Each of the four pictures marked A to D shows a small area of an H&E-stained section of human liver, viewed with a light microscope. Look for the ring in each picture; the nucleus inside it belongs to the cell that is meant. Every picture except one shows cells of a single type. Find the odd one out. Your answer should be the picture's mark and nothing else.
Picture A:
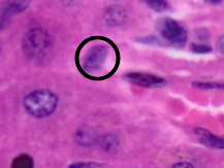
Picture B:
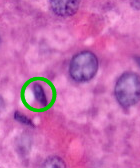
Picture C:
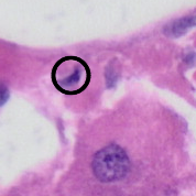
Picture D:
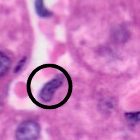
D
